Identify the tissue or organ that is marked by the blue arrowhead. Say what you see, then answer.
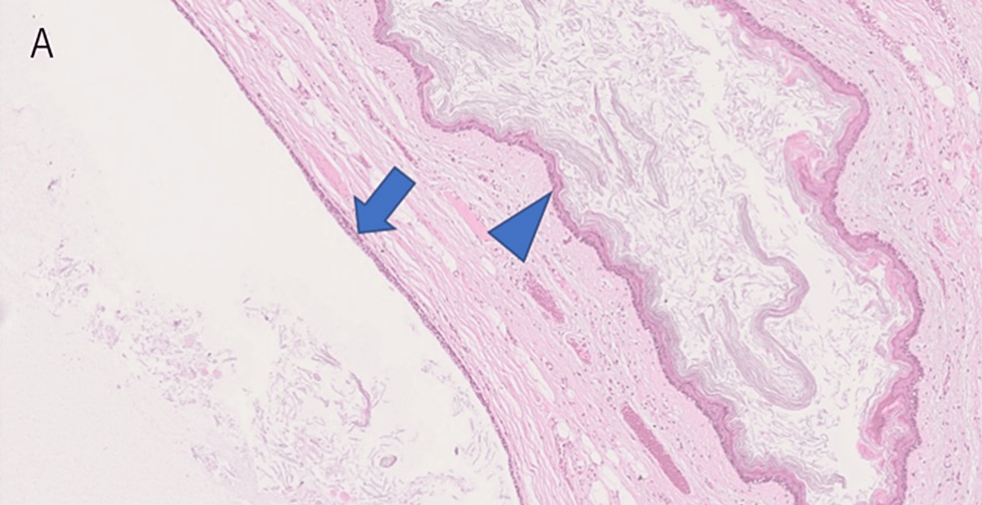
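The marked lining is several cell layers thick. Layered pink lamellar material fills the lumen it lines.
Conclusion: stratified squamous epithelium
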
